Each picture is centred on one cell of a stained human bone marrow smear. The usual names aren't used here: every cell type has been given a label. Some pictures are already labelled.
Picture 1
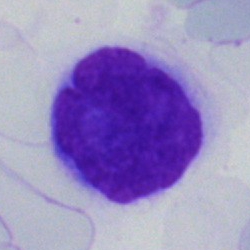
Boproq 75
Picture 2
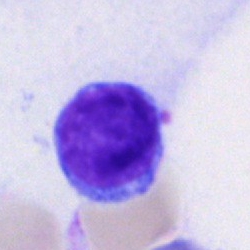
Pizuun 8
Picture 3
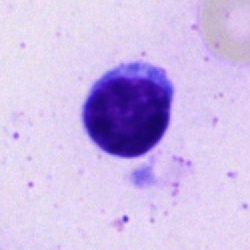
Pizuun 8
